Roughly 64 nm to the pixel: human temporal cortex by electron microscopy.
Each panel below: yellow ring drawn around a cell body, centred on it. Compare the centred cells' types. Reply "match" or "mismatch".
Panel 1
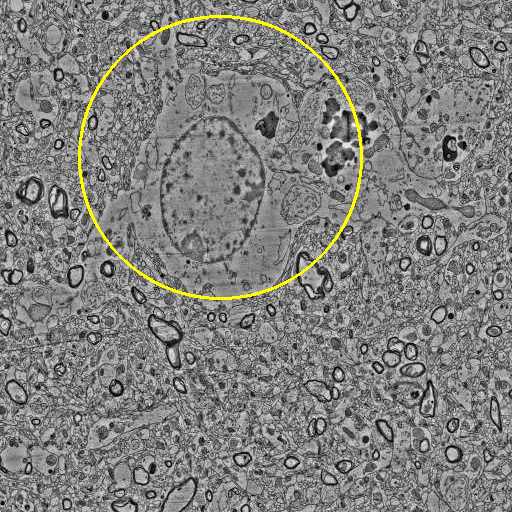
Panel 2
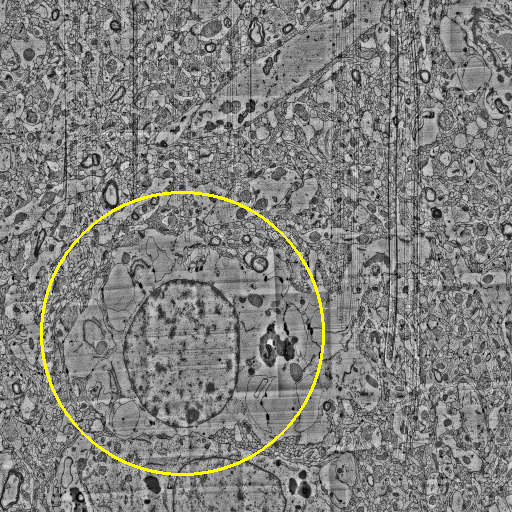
match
